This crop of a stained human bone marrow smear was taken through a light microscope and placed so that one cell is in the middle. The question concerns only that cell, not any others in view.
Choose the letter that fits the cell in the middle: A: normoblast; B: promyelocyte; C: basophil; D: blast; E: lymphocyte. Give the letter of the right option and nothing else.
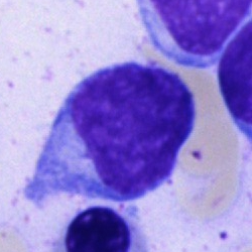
D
